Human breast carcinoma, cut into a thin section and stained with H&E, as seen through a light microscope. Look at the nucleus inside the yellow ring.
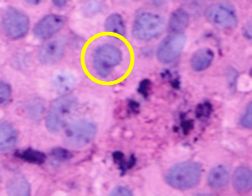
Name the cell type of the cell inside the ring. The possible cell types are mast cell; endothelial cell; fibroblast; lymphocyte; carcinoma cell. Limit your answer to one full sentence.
The classification of the cell inside the ring is as a carcinoma cell.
